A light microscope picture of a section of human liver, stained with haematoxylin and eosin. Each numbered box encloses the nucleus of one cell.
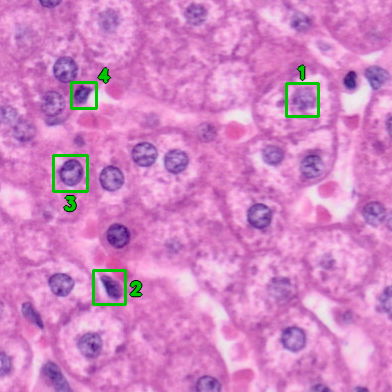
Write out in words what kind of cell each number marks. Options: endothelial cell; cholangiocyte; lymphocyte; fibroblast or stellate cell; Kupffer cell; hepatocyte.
Cell 1 is a hepatocyte, cell 2 is an endothelial cell, cell 3 is a hepatocyte and cell 4 is a fibroblast or stellate cell.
